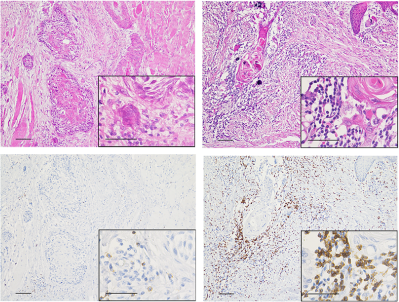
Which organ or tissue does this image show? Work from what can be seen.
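Pink nests of large polygonal epithelial cells infiltrate fibrous stroma. Concentric pink keratin whorls lie within the nests.
Hence: squamous cell carcinoma.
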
